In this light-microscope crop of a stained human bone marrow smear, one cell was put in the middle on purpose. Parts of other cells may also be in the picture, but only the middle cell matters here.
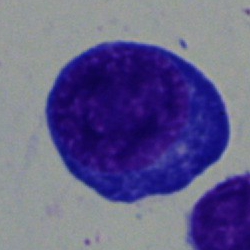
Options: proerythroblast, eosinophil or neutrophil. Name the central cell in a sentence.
The middle of this crop holds a proerythroblast.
